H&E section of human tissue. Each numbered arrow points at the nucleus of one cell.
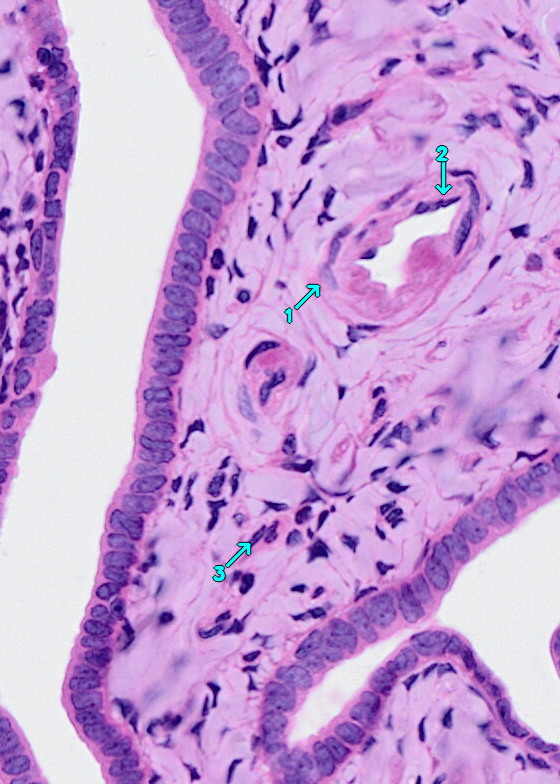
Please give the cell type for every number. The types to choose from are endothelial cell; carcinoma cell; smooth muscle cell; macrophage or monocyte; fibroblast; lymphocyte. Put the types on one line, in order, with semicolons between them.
smooth muscle cell; endothelial cell; endothelial cell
